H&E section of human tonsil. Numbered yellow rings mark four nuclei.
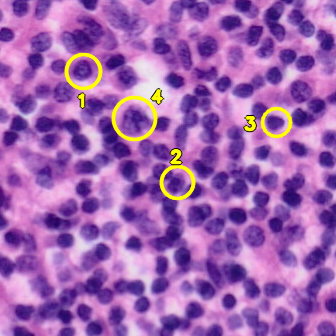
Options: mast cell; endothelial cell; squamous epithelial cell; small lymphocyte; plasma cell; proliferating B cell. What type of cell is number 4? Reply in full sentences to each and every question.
The numeral 4 marks a proliferating B cell in this section.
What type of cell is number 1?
To a plasma cell belongs the nucleus marked 1.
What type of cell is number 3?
Of the numbered cells, the one labelled 3 is a small lymphocyte.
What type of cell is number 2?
The correct label for cell 2 is a small lymphocyte.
